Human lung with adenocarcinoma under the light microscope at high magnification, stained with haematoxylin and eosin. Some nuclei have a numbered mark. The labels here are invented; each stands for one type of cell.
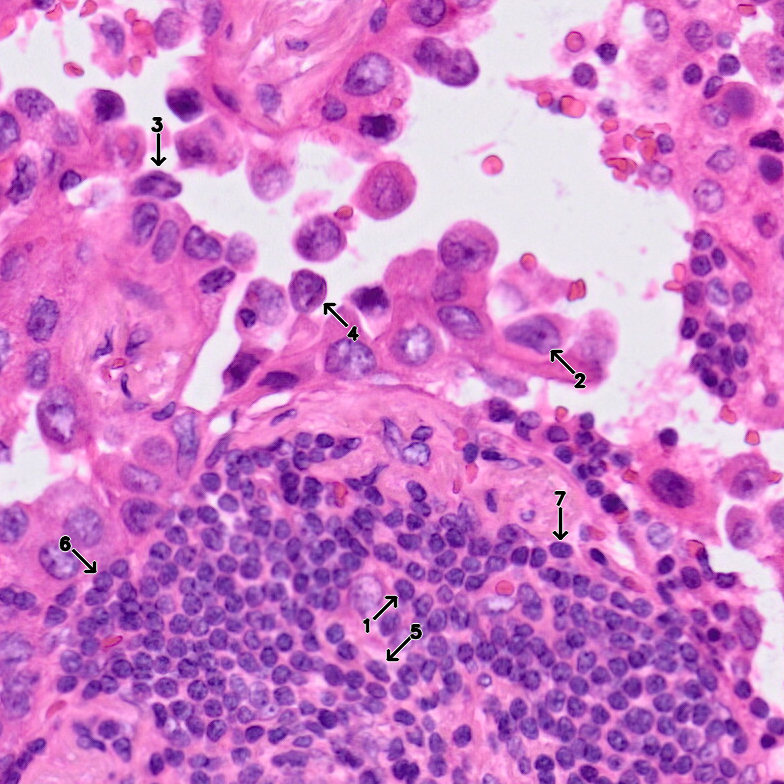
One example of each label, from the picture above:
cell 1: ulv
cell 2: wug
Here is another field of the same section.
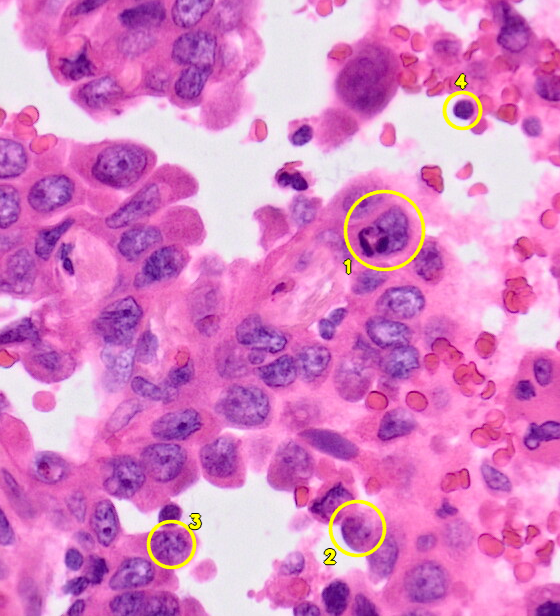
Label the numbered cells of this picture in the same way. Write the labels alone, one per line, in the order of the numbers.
wug
wug
wug
ulv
